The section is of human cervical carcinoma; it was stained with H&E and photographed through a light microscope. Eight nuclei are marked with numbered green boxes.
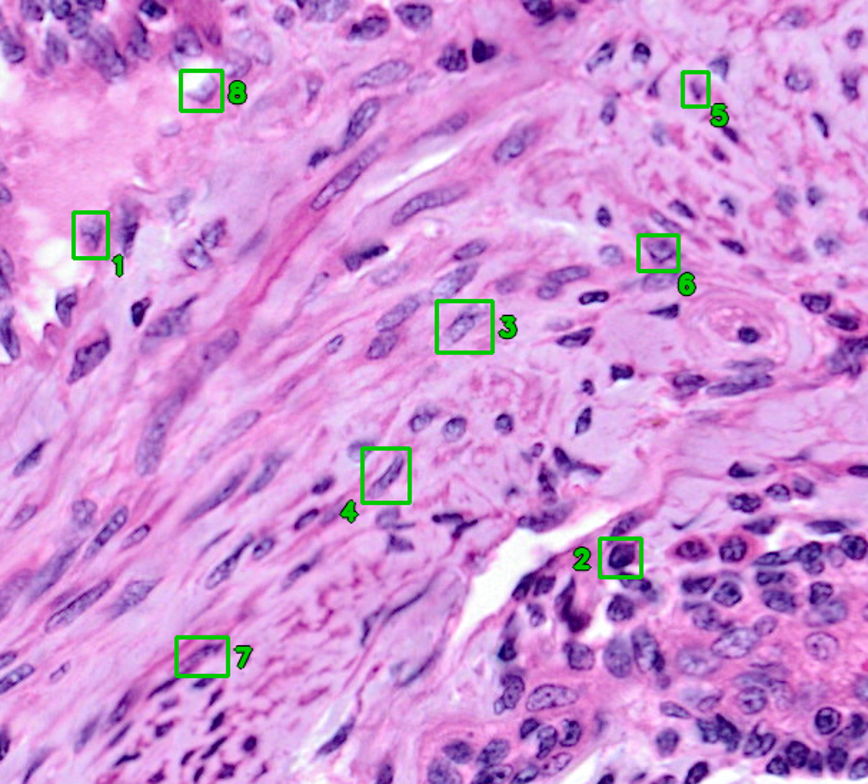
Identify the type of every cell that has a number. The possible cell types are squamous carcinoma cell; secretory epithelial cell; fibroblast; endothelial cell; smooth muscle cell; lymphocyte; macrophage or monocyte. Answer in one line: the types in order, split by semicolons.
endothelial cell; lymphocyte; smooth muscle cell; smooth muscle cell; smooth muscle cell; smooth muscle cell; smooth muscle cell; endothelial cell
